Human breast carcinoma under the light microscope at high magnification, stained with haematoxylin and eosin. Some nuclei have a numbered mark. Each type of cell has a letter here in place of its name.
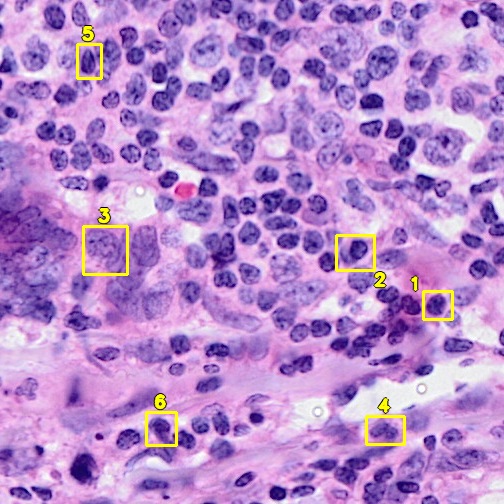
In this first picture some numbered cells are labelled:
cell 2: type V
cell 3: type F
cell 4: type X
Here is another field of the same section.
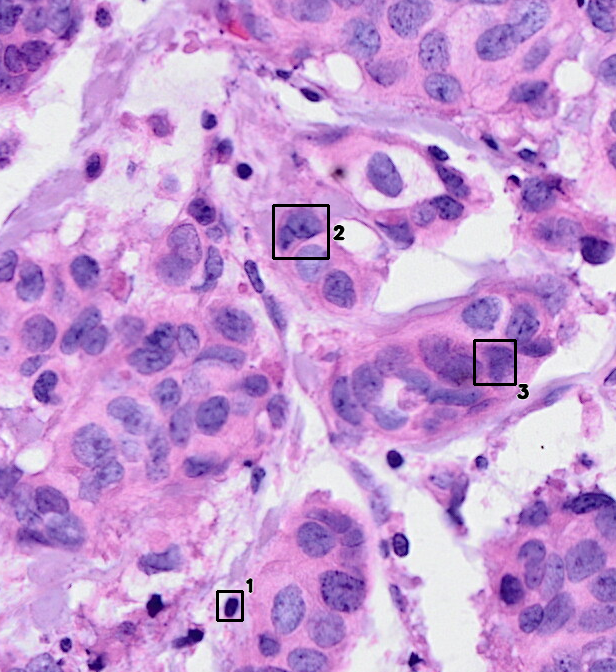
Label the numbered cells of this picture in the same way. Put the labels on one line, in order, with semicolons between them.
type V; type F; type F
